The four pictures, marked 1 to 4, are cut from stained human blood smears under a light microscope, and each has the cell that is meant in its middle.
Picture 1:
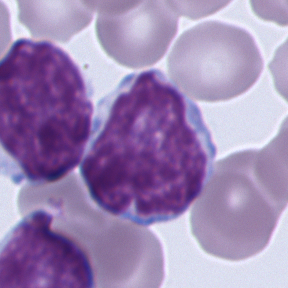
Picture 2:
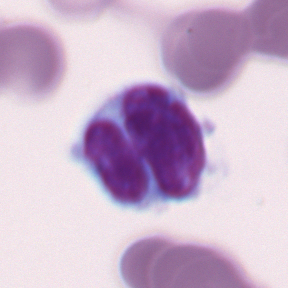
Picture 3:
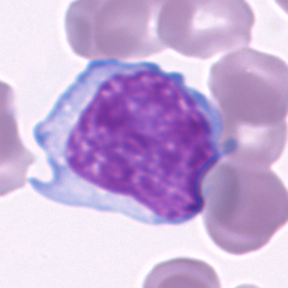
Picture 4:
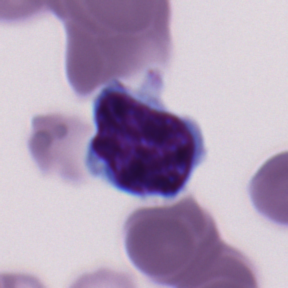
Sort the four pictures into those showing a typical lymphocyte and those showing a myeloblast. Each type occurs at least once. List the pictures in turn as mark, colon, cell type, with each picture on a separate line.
1: typical lymphocyte
2: typical lymphocyte
3: myeloblast
4: typical lymphocyte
